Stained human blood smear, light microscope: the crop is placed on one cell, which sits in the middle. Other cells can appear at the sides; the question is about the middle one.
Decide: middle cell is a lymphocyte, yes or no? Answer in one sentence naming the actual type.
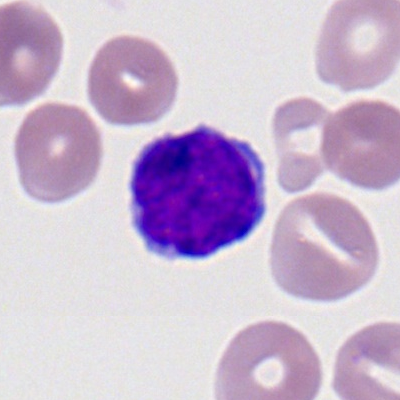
Yes, the centred cell is categorised as a lymphocyte.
